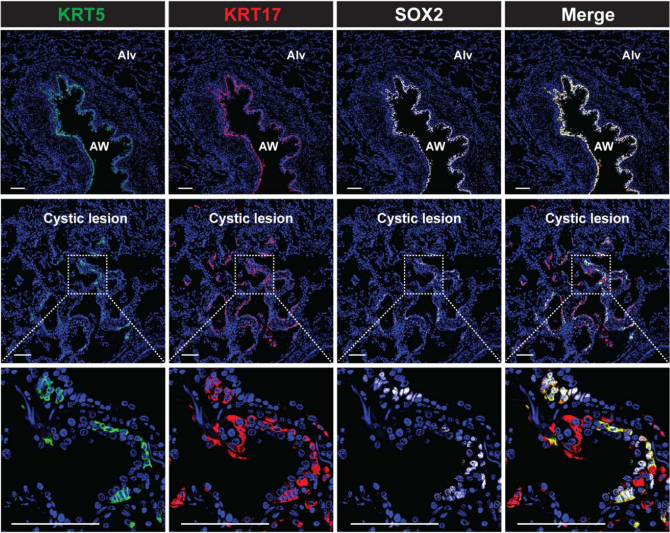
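In the cystic lesion, the lining is patchier. In the enlarged view, some lining cells carry green together with white nuclei, and other elongated lining cells are red without green.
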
